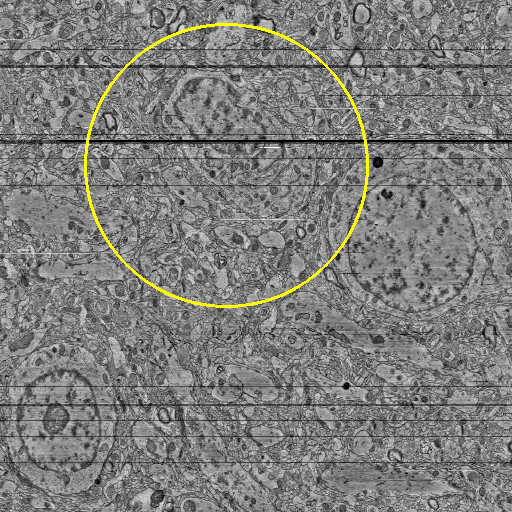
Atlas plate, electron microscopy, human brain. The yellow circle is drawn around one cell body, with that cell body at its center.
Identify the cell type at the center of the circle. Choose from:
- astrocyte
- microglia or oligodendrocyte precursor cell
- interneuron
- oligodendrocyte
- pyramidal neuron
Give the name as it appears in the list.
interneuron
